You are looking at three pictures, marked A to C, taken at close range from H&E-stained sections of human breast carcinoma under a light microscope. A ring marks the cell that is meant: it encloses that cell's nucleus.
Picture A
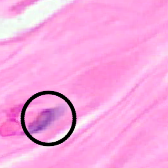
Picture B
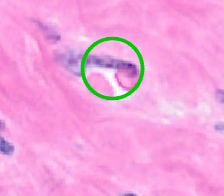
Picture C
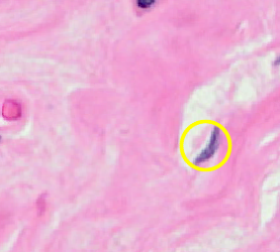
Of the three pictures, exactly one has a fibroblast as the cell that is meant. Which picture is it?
C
